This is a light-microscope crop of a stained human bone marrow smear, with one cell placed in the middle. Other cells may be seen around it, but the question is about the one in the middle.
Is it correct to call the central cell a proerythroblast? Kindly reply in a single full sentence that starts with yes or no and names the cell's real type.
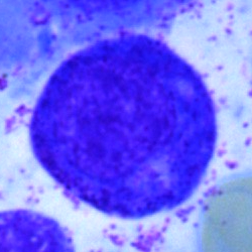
No, the middle one is a promyelocyte rather than a proerythroblast.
